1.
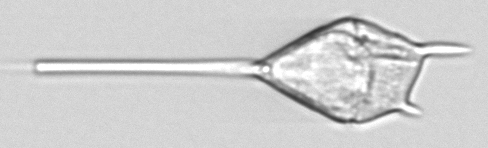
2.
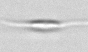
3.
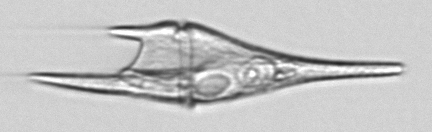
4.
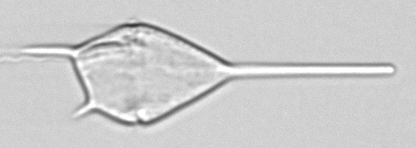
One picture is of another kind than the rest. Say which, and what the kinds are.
Picture 2 shows Cylindrotheca; the rest show Tripos.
